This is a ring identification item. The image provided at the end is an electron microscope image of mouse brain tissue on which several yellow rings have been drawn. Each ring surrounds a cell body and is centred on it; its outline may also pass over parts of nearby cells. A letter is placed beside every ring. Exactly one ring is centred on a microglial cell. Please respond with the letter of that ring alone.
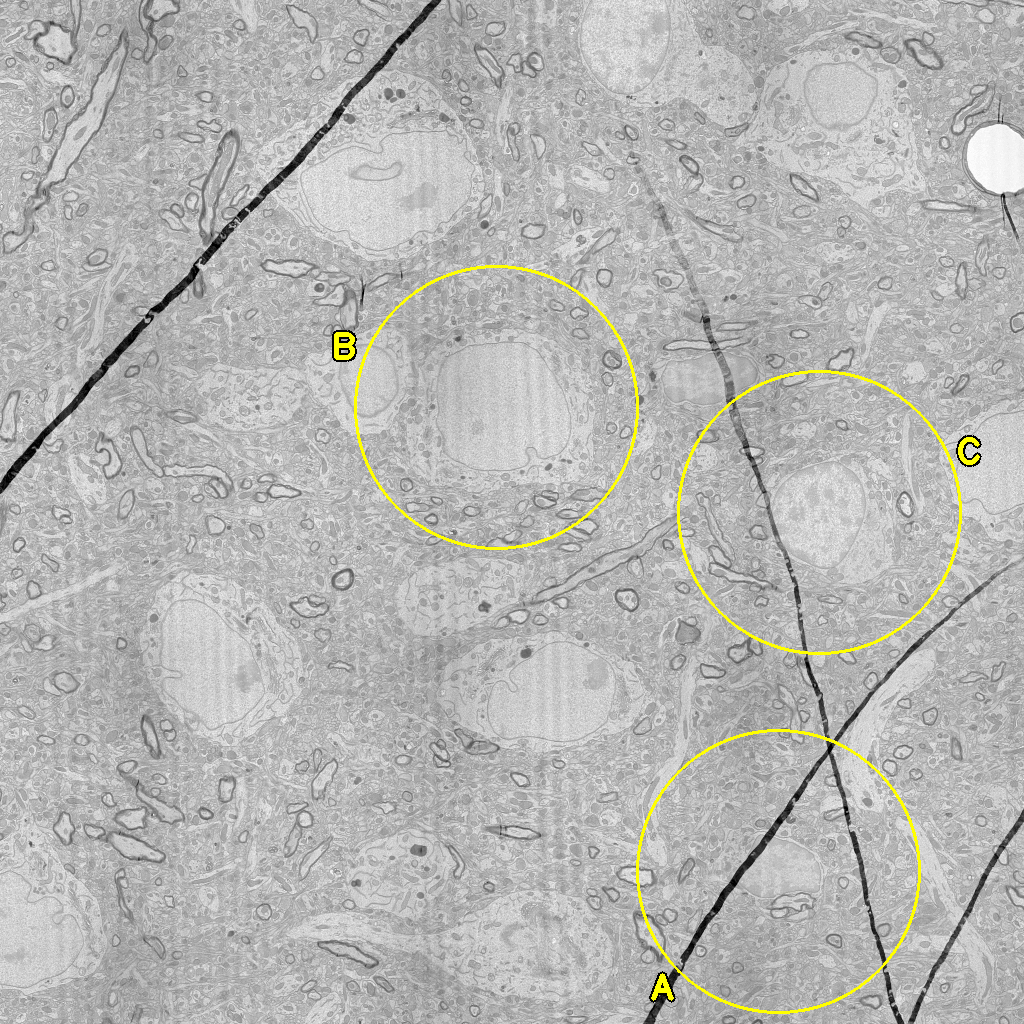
A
